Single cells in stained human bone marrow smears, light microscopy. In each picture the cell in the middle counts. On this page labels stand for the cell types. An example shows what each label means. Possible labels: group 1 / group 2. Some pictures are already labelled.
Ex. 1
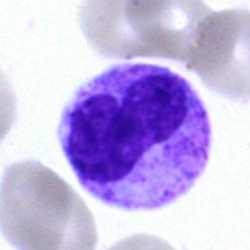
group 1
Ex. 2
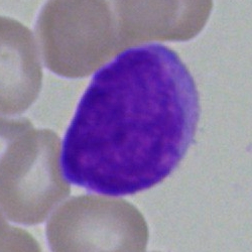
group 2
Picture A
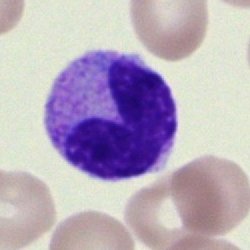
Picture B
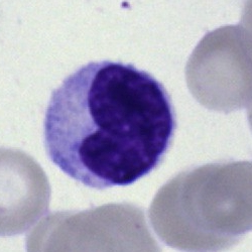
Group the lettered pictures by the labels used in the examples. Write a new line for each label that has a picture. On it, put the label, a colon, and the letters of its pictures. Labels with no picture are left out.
group 1: A, B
